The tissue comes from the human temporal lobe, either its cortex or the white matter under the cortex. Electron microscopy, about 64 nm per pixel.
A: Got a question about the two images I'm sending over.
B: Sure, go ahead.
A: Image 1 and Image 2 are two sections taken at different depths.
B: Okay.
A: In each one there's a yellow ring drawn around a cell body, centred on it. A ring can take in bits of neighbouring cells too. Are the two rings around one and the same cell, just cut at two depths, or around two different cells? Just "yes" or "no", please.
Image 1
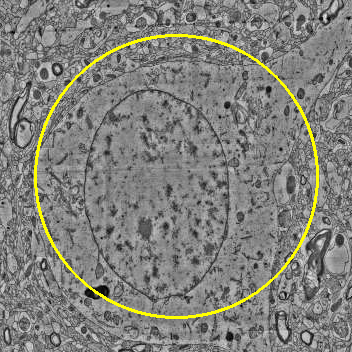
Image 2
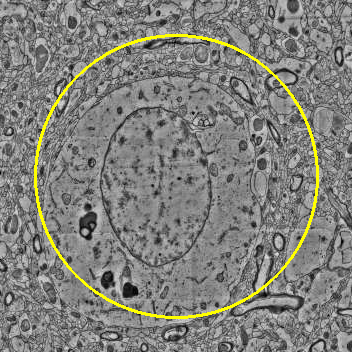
yes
